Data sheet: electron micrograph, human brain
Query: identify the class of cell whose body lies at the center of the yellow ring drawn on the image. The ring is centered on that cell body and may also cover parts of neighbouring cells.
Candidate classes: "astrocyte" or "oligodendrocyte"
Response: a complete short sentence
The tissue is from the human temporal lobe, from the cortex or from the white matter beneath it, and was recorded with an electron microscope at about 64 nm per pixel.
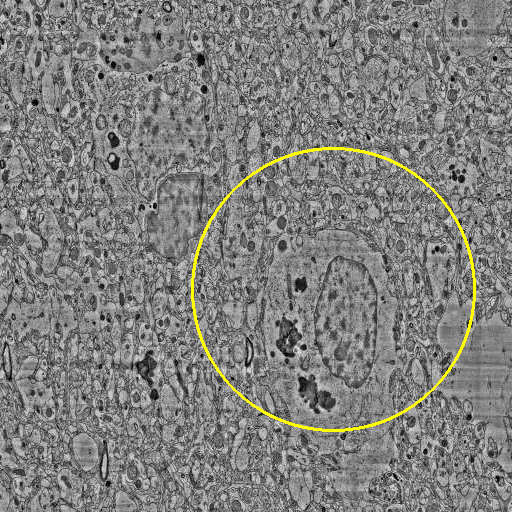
At the center of the ring lies an astrocyte.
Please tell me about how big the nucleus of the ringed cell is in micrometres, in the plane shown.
In this plane the nucleus is roughly 8 by 4 micrometres, clearly longer than it is wide.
